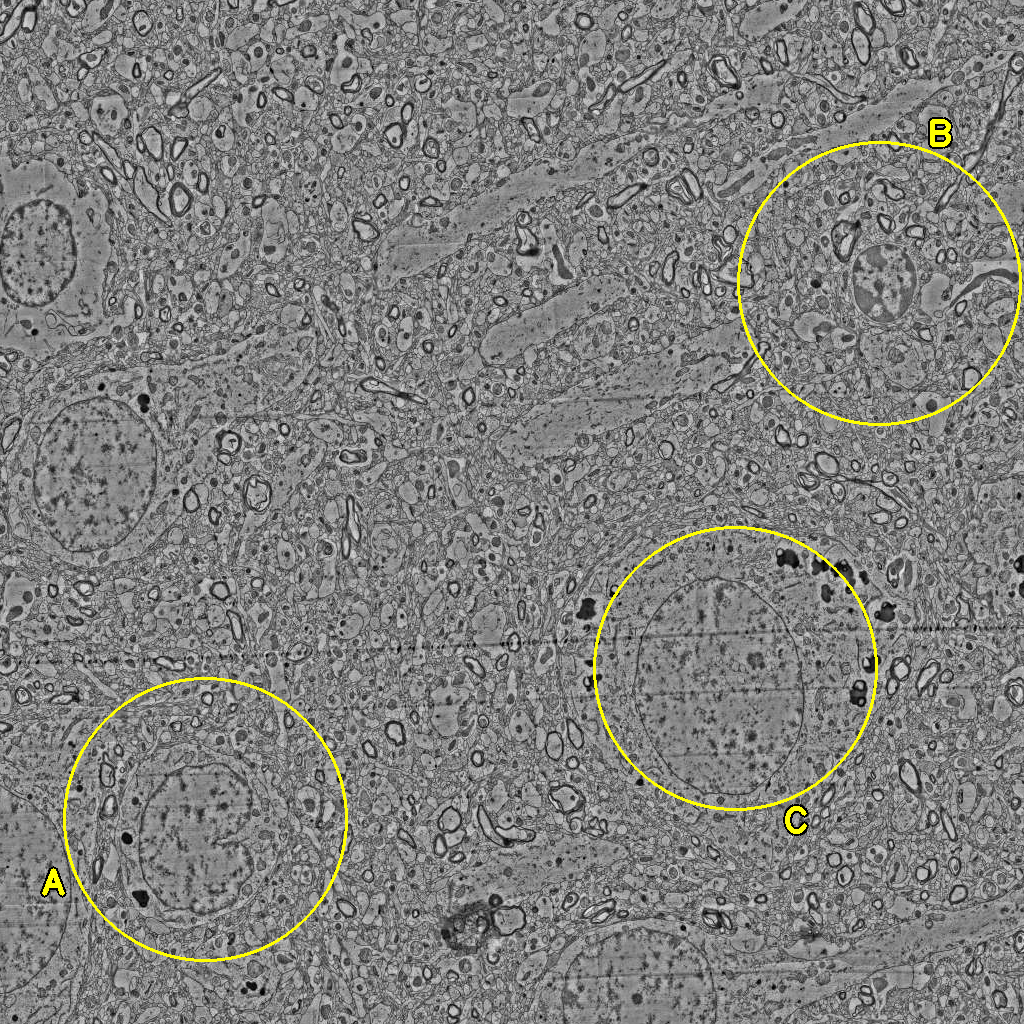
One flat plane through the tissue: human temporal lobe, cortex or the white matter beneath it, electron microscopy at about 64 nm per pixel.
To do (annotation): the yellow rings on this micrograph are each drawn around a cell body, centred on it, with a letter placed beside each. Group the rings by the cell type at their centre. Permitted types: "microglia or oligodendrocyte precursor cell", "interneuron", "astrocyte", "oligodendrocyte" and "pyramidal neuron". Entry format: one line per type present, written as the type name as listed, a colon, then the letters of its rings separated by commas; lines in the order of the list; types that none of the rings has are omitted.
microglia or oligodendrocyte precursor cell: B
interneuron: A
pyramidal neuron: C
